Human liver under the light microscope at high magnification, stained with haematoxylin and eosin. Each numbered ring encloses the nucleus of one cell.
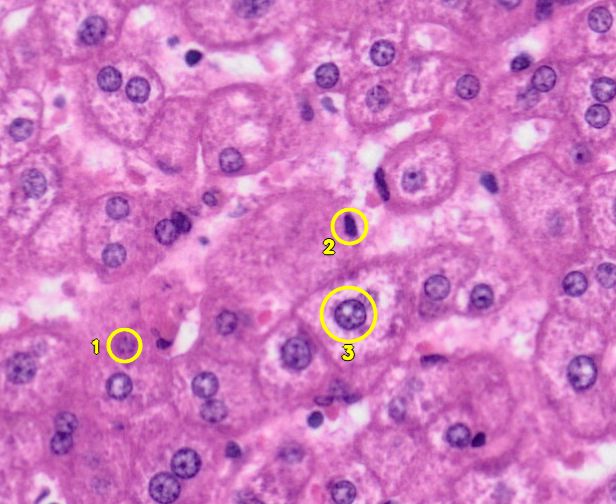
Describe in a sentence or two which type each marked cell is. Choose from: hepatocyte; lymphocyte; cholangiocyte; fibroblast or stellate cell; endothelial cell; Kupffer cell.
Cell 1 is a hepatocyte, cell 2 is a fibroblast or stellate cell and cell 3 is a hepatocyte.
